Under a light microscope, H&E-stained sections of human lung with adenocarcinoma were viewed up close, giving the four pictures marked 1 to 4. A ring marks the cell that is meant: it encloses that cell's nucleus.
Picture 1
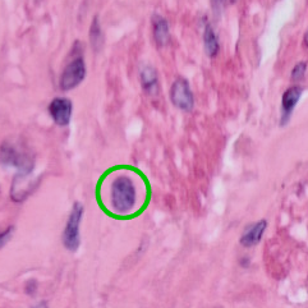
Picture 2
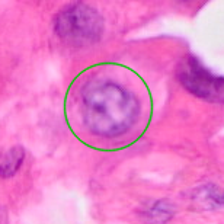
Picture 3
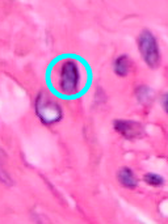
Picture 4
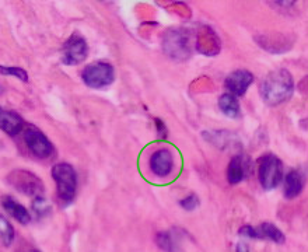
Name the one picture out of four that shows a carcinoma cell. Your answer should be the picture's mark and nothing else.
2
